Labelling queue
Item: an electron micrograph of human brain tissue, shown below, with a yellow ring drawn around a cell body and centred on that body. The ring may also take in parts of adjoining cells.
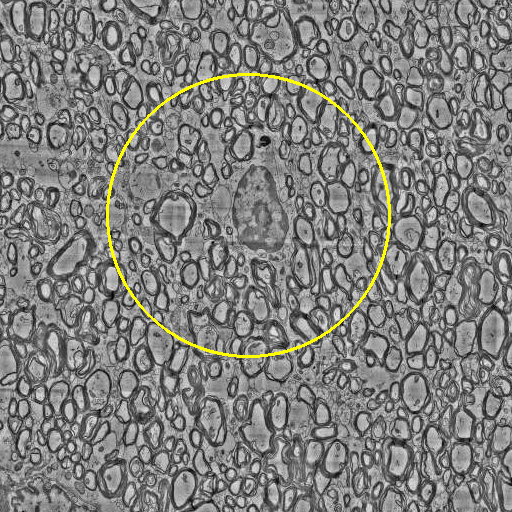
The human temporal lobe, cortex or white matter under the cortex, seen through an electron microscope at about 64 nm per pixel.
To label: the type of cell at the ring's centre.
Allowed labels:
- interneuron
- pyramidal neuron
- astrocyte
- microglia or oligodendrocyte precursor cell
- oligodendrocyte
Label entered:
microglia or oligodendrocyte precursor cell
